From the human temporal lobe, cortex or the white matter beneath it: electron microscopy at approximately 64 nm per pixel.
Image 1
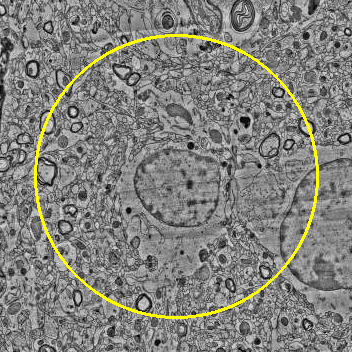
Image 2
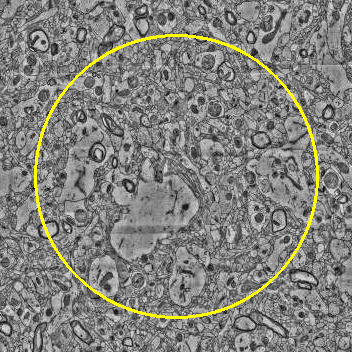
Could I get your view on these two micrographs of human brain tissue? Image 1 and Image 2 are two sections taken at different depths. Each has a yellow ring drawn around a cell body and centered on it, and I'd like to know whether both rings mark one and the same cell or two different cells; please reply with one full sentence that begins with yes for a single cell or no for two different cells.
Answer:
No, each of the two rings holds a different cell.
